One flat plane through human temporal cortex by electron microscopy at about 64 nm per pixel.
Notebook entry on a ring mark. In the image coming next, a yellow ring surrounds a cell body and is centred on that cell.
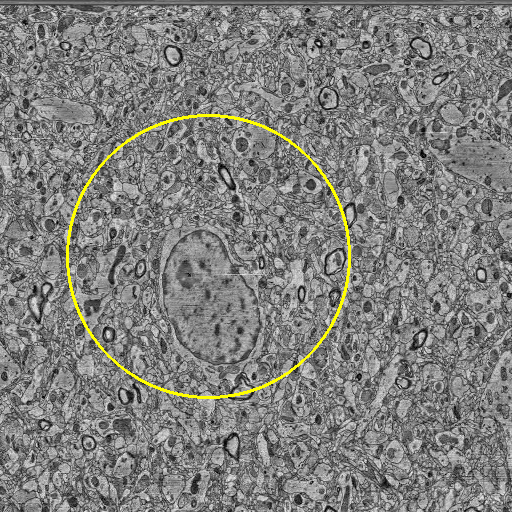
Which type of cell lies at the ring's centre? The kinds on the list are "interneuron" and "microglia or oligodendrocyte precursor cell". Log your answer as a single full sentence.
Centred in the yellow ring is a microglial cell or oligodendrocyte precursor cell, the cell recorded for this image.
